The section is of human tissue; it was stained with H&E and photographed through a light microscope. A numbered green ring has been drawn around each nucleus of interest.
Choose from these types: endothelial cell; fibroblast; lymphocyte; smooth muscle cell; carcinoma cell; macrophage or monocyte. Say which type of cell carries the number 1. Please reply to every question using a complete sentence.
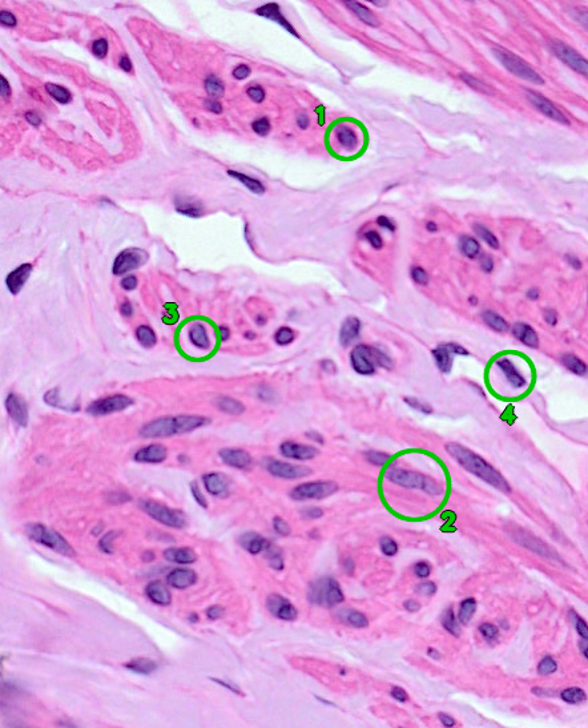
The cell with the number 1 is a smooth muscle cell.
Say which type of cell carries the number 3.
In this section, the cell numbered 3 is a smooth muscle cell.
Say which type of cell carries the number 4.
The numbered cell 4 is identified here as a fibroblast.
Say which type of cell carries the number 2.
The mark numbered 2 indicates the nucleus of a smooth muscle cell.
